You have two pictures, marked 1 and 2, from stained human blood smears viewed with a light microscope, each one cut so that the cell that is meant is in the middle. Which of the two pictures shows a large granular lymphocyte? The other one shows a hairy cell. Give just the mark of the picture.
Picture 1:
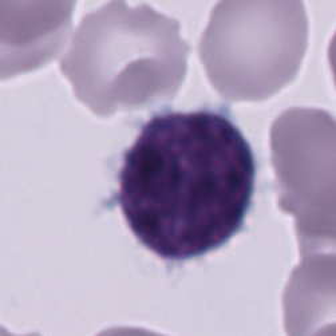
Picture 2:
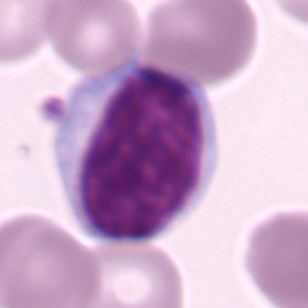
2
